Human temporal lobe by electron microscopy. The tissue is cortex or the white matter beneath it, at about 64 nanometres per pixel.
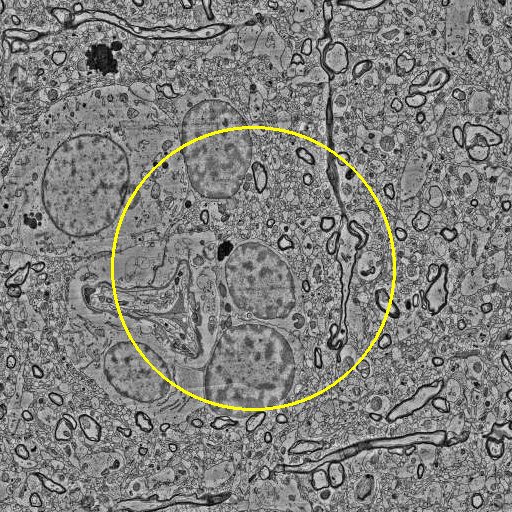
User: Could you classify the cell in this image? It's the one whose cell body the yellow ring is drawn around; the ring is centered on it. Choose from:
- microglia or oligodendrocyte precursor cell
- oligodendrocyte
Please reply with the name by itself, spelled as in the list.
oligodendrocyte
